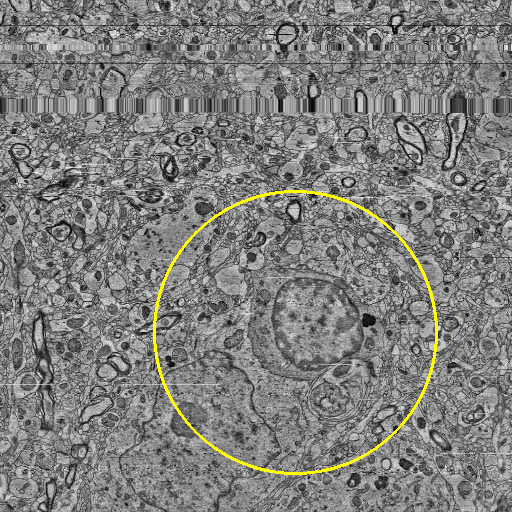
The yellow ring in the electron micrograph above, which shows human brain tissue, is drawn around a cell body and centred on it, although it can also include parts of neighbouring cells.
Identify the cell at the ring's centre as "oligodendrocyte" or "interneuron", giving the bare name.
oligodendrocyte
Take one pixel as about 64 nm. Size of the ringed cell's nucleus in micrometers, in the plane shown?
In this plane, the nucleus of the cell at the centre of the ring is about 6 micrometres across.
